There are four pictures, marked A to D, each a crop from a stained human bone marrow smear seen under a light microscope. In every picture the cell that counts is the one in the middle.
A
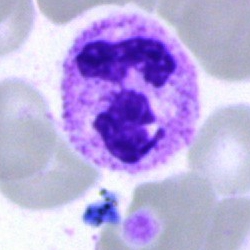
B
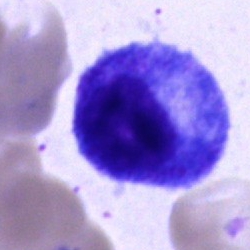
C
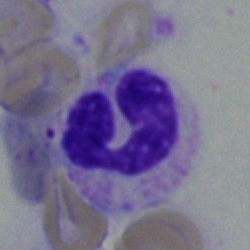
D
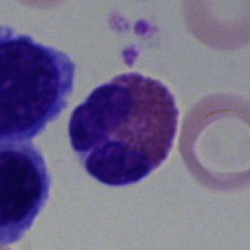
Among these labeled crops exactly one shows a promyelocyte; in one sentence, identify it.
Crop B is the crop whose central cell is a promyelocyte.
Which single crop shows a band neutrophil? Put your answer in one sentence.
The crop marked C is the one in which a band neutrophil is shown.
